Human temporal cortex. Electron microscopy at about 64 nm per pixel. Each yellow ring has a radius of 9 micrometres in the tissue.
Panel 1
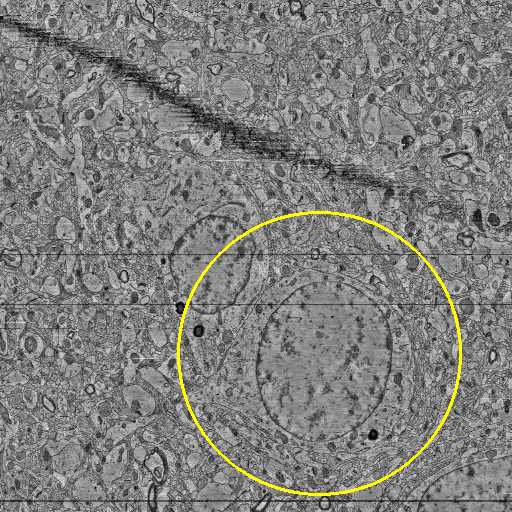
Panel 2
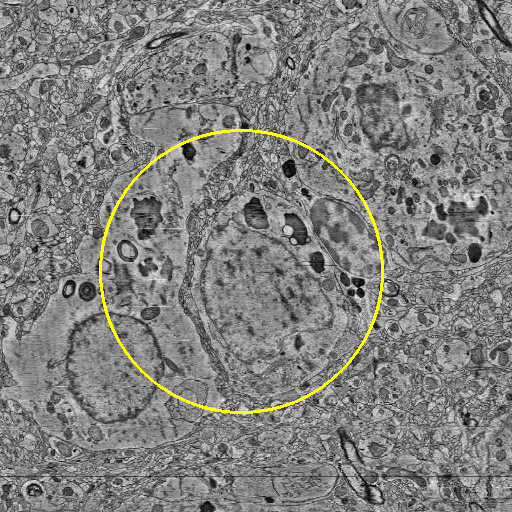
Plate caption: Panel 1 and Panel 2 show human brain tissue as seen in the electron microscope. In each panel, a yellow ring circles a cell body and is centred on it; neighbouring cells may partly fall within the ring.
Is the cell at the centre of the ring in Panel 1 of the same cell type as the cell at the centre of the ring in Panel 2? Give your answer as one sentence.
No, the two cells are of two types.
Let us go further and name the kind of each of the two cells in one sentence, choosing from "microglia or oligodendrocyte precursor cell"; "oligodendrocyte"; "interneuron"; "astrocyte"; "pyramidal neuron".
The ring of the first picture is on a pyramidal neuron, the ring of the second on an interneuron.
